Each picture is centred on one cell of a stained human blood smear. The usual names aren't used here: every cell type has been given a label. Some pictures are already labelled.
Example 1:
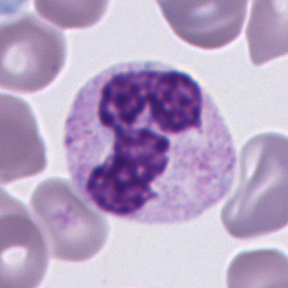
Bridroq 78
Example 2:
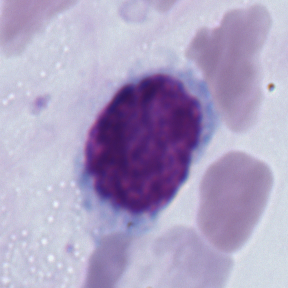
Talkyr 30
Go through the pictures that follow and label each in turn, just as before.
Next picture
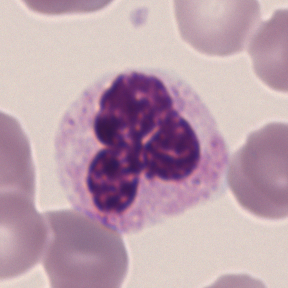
Bridroq 78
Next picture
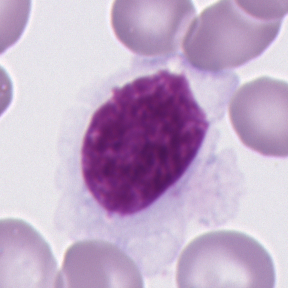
Talkyr 30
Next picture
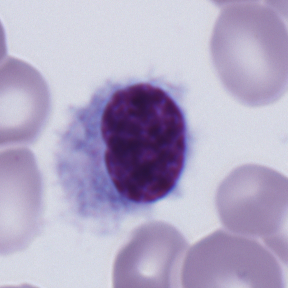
Talkyr 30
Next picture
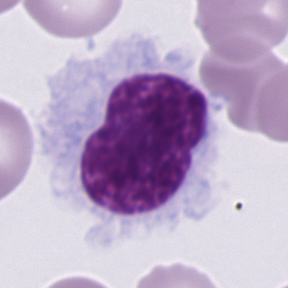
Talkyr 30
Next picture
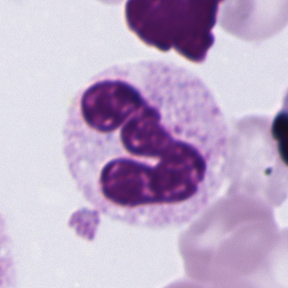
Bridroq 78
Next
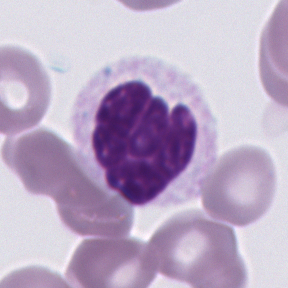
Bridroq 78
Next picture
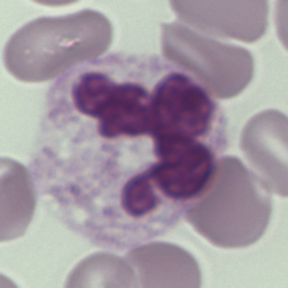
Bridroq 78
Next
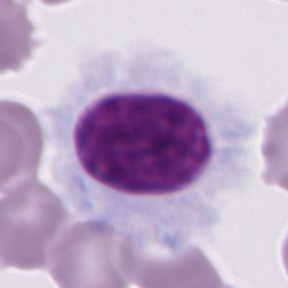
Talkyr 30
